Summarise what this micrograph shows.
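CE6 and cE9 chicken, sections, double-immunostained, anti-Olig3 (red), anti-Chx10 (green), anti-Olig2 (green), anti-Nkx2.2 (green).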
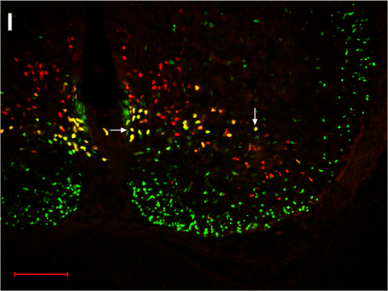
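Ventral spinal cord beside the central canal, showing red, green and yellow nuclei. A horizontal band of yellow nuclei, carrying both red and green, extends laterally from the ventral part of the canal, with white arrows on some of them. Red-only nuclei lie mainly above this band, while a dense field of green-only nuclei fills the ventral margin of the cord below it. A bright green patch lines the canal wall at the level of the yellow band.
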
